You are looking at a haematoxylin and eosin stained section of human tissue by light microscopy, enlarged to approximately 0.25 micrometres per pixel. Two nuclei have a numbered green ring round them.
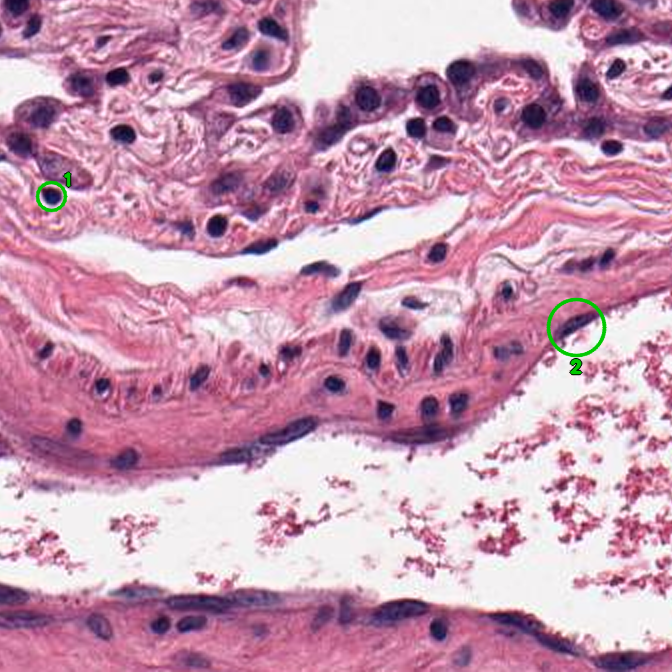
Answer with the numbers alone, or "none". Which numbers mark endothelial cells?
2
